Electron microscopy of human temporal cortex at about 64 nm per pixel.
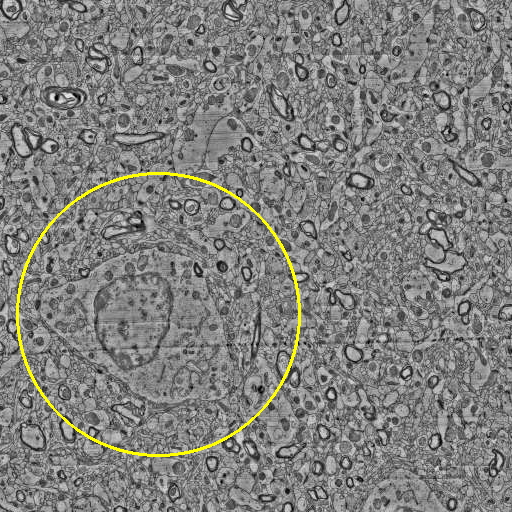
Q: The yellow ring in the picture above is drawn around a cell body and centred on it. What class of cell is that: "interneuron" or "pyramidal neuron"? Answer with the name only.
pyramidal neuron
